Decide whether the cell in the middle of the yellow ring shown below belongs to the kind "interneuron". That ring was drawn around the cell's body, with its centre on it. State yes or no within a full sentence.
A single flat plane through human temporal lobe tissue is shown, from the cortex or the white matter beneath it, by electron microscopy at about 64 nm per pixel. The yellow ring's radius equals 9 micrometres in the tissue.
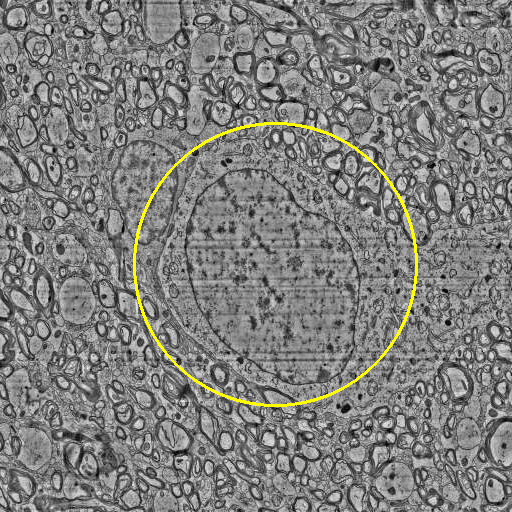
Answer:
No, the cell whose body lies at the ring's centre in the picture belongs to a different kind.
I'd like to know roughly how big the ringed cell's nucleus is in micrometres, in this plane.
Roughly 15 by 10 micrometres is the size of the nucleus in this plane.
